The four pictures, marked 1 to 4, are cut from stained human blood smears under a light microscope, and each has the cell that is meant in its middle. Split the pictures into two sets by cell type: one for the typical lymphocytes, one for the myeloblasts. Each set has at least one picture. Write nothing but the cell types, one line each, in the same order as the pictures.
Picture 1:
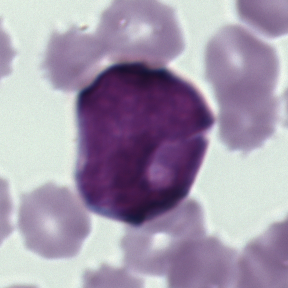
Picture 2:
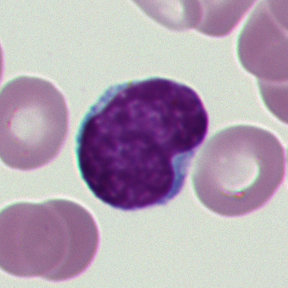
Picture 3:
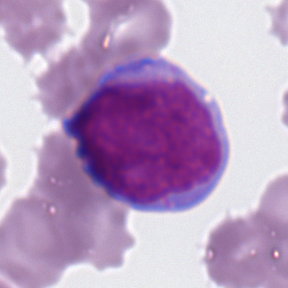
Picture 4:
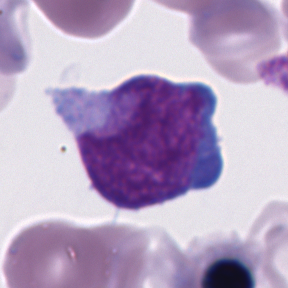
myeloblast
typical lymphocyte
myeloblast
myeloblast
